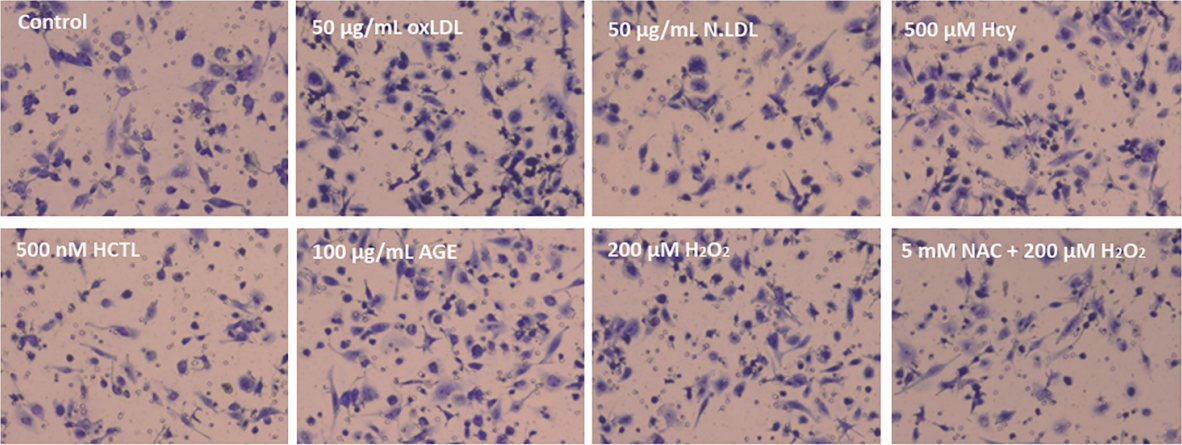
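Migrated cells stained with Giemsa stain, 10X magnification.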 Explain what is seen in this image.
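Some are rounded with a dense dark center, while others are flattened and spread, with irregular outlines and short cytoplasmic extensions. The cells lie singly or in small loose groups, with no organized tissue arrangement.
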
